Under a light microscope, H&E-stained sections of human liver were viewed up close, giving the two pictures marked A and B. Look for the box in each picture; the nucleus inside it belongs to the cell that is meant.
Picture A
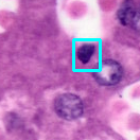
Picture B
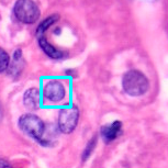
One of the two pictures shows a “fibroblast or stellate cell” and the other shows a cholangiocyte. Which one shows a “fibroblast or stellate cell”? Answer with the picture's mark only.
A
